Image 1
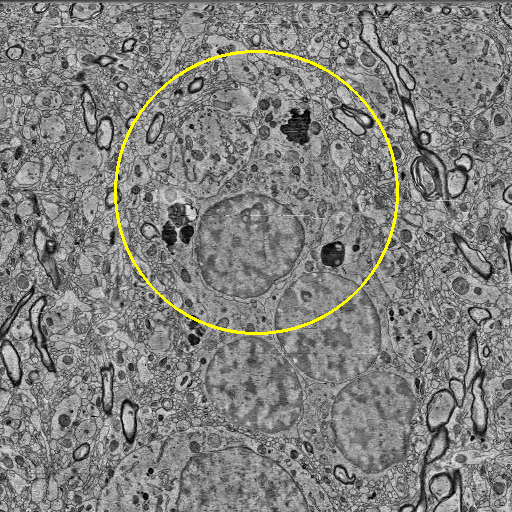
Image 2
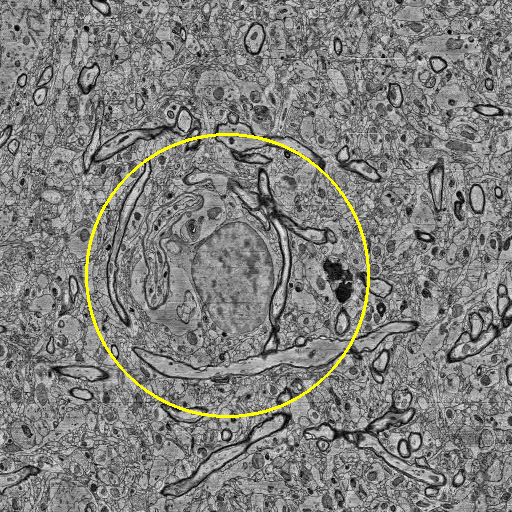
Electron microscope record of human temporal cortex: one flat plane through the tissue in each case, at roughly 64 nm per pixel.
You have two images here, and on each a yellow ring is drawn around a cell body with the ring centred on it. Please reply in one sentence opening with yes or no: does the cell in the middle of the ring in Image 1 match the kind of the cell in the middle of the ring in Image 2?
Yes, the two images show cells of one kind at the centres of their rings.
